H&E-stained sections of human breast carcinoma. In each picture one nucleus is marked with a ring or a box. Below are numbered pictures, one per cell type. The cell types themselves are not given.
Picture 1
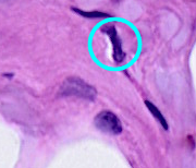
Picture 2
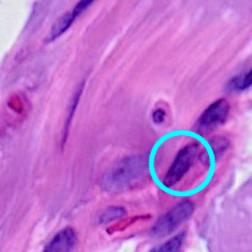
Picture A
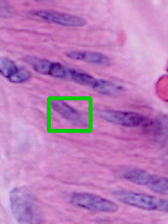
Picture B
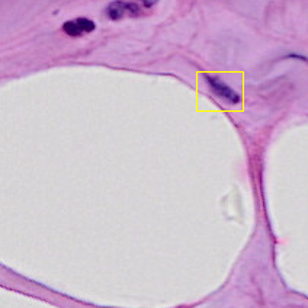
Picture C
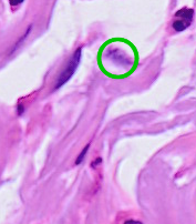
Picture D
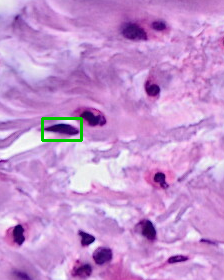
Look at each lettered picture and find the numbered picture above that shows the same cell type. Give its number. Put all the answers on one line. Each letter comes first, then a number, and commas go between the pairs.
A 2, B 1, C 1, D 1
